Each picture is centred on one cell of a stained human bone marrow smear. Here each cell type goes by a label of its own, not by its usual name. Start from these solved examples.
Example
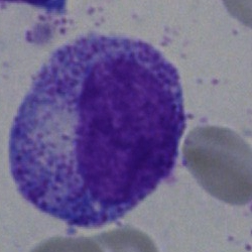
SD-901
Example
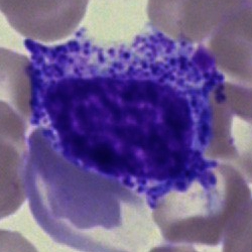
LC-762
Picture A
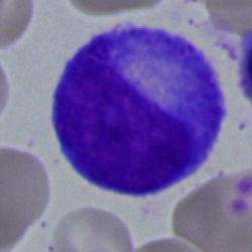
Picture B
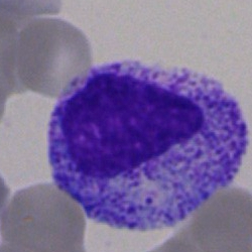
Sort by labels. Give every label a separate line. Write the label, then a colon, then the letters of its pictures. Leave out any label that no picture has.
SD-901: B
LC-762: A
